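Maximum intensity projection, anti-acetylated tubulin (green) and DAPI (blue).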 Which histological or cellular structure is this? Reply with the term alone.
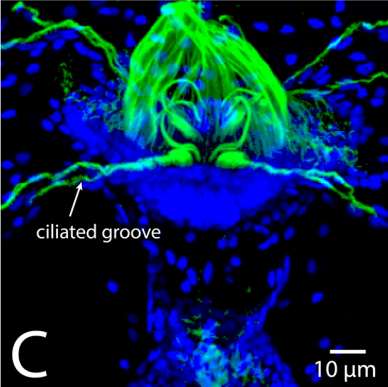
apical organ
